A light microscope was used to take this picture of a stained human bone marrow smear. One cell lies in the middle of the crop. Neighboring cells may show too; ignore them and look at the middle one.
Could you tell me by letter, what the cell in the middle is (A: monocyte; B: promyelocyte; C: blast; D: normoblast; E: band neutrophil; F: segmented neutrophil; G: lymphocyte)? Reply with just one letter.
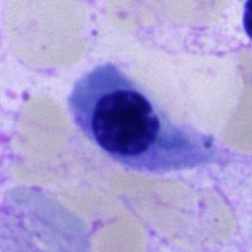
D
